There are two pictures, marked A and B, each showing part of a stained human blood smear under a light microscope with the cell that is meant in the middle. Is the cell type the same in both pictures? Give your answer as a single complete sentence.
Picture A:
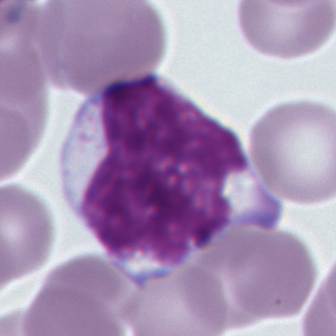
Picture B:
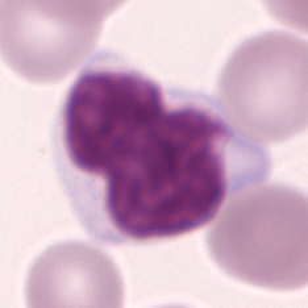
Yes, the two pictures both show large granular lymphocytes.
